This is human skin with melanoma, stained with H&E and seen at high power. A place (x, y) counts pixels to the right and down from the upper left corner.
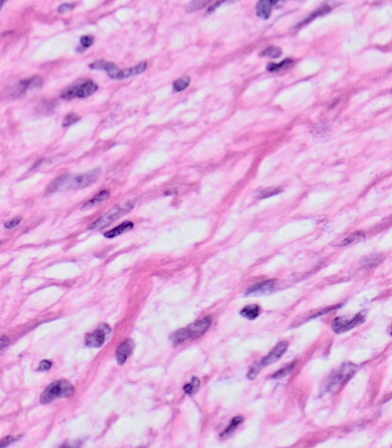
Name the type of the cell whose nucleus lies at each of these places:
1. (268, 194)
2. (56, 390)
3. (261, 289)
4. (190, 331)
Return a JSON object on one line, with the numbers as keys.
{"1": "fibroblast or myofibroblast", "2": "macrophage or monocyte", "3": "fibroblast or myofibroblast", "4": "fibroblast or myofibroblast"}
